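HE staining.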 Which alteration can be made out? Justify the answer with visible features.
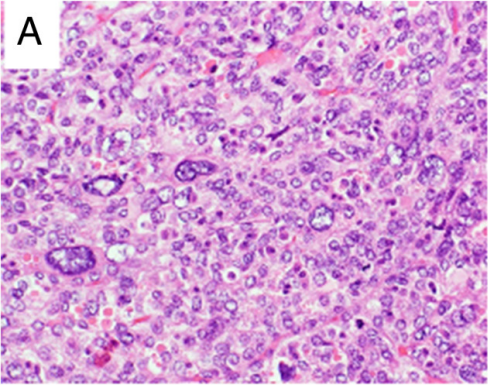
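Nuclei vary widely in size and shape. Scattered nuclei are very large and dark purple. The answer: Nuclear pleomorphism and hyperchromasia.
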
